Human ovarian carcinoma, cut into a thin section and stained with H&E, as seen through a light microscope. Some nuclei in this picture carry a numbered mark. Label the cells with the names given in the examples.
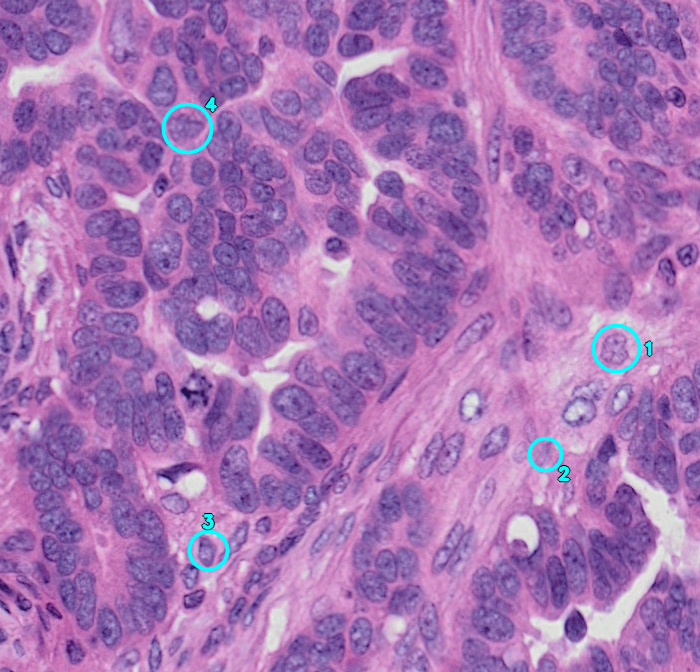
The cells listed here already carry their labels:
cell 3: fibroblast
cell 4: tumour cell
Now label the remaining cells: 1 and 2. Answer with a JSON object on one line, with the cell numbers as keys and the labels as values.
{"1": "fibroblast", "2": "fibroblast"}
